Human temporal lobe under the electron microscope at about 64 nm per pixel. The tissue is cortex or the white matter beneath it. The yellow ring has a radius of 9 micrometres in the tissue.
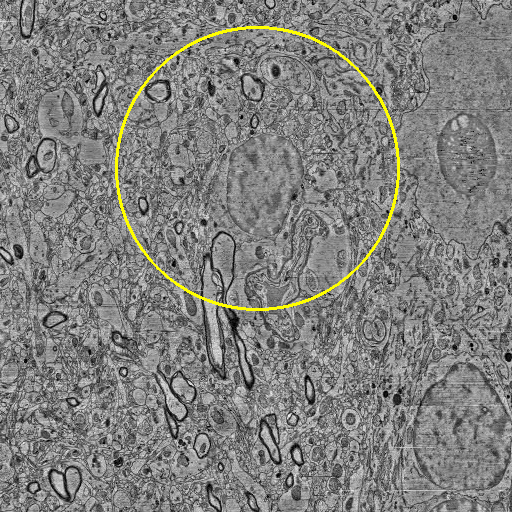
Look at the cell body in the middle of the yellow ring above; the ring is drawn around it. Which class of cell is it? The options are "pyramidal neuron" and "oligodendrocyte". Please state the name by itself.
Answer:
oligodendrocyte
